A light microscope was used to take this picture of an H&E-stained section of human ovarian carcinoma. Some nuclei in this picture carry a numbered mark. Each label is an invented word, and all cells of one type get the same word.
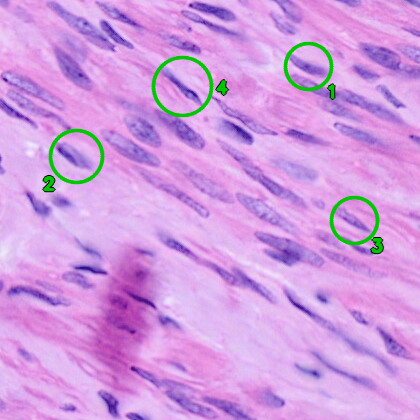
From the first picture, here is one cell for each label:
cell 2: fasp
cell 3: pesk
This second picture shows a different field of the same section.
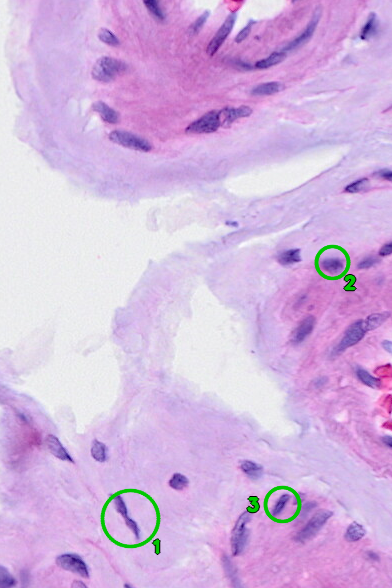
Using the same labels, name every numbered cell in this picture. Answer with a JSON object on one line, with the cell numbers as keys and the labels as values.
{"1": "fasp", "2": "pesk", "3": "pesk"}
